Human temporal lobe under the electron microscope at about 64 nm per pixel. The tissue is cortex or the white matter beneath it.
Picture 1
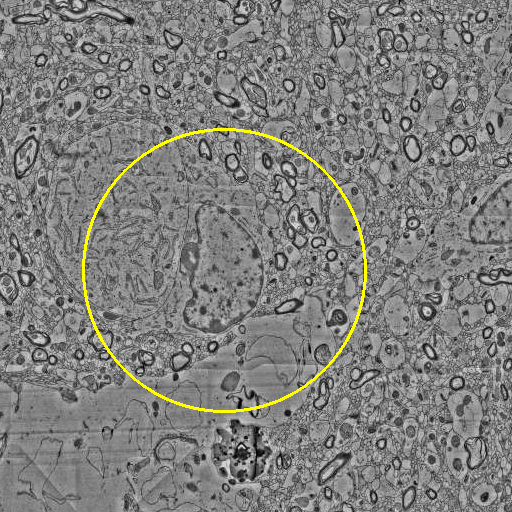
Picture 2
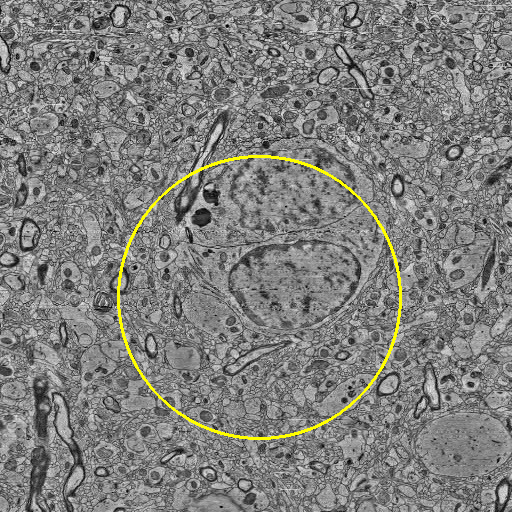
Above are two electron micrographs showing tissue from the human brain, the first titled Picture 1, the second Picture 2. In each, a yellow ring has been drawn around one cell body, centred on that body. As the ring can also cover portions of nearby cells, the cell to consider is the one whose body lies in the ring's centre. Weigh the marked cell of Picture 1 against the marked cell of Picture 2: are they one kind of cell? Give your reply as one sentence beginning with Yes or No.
Yes, the two cells sitting at the ring centres in the pictures are of one kind.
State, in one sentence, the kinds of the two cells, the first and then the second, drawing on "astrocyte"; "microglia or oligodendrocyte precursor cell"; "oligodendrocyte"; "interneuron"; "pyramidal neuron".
The cell at the ring centre is a microglial cell or oligodendrocyte precursor cell in both pictures.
